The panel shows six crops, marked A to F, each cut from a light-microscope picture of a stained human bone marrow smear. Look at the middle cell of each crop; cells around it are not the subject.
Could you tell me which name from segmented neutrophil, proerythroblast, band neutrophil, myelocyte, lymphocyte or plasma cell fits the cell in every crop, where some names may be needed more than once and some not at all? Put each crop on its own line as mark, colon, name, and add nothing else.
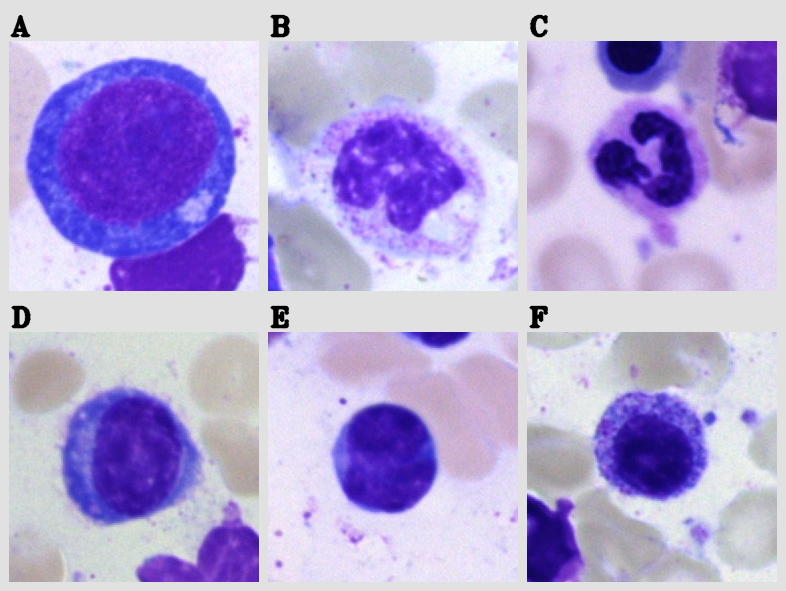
A: proerythroblast
B: segmented neutrophil
C: segmented neutrophil
D: plasma cell
E: lymphocyte
F: myelocyte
